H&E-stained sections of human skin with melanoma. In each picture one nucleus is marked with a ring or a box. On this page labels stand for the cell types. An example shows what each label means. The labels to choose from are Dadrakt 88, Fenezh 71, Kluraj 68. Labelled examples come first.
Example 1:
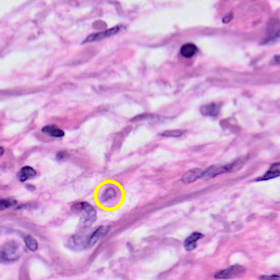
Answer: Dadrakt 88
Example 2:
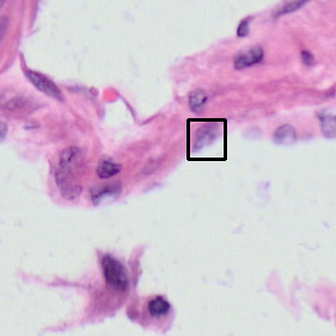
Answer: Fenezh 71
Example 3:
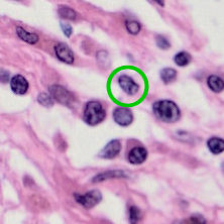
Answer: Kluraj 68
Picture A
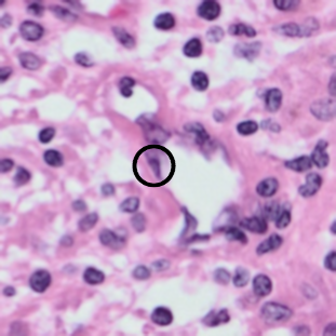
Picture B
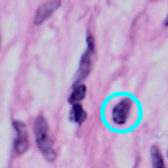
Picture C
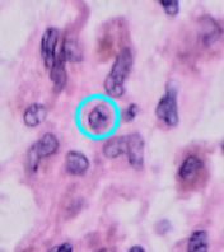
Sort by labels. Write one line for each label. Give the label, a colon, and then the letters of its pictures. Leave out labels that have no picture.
Fenezh 71: A
Kluraj 68: B, C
